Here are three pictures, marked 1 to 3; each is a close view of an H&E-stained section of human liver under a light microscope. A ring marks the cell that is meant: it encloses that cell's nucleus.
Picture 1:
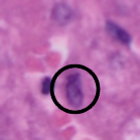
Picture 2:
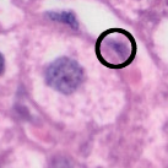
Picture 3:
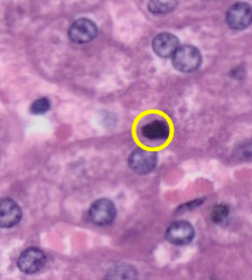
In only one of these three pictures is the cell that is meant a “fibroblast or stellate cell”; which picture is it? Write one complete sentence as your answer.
It is picture 3 that shows the “fibroblast or stellate cell”.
